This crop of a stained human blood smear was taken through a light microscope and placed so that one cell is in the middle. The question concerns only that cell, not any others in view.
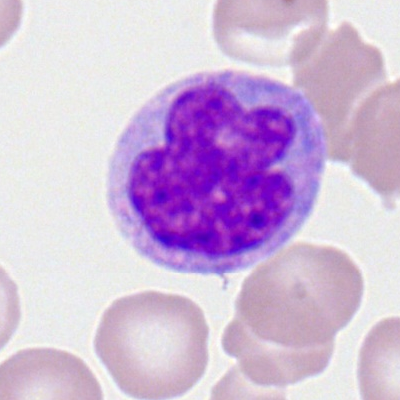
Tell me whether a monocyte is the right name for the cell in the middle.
yes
